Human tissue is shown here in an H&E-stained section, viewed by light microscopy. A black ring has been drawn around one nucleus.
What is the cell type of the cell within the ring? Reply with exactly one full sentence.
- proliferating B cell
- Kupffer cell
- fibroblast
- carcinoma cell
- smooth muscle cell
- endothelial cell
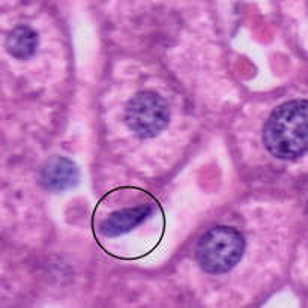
It is a Kupffer cell that the cell within the ring represents.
